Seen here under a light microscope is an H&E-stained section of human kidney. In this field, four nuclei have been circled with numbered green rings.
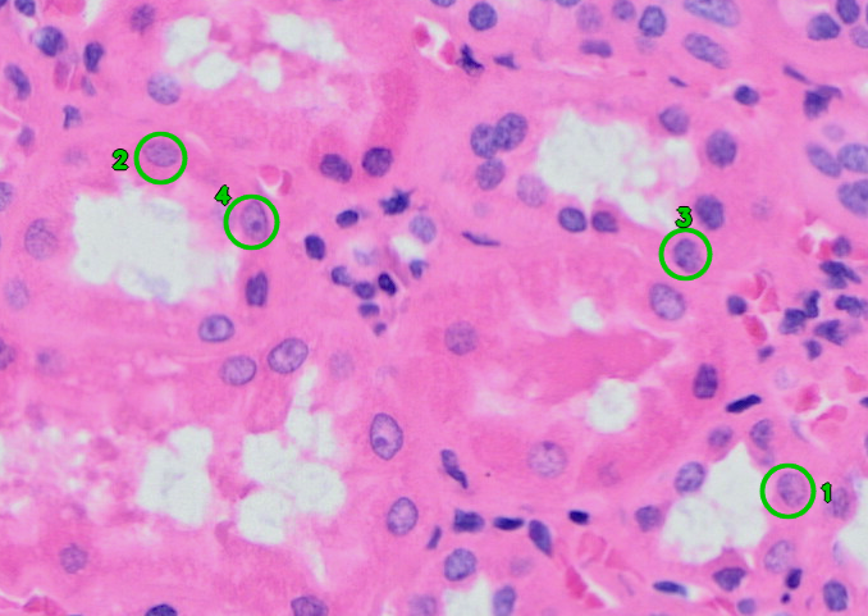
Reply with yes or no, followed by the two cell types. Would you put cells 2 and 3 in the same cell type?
No, cell 2 is a proximal tubule cell, and cell 3, in contrast, is a loop of Henle or distal tubule cell.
